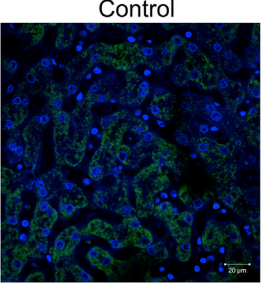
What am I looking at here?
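Large polygonal cells are arranged in cords and plates separated by dark, empty-looking channels. Each cell holds a round blue nucleus, and the cytoplasm around it is packed with fine green granules. The granular green fills the cell bodies but spares the nuclei and the dark spaces between the cords. This pattern of cell plates and intervening channels fits liver tissue.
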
